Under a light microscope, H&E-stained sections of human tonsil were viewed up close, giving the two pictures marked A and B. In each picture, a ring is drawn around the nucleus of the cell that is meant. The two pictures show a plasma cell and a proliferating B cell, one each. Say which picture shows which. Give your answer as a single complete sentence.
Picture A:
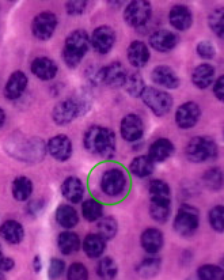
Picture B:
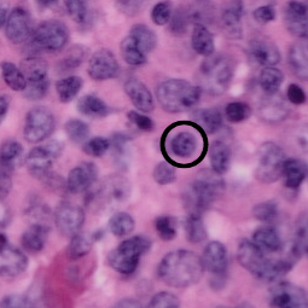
Picture A is of a plasma cell, and picture B is of a proliferating B cell.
